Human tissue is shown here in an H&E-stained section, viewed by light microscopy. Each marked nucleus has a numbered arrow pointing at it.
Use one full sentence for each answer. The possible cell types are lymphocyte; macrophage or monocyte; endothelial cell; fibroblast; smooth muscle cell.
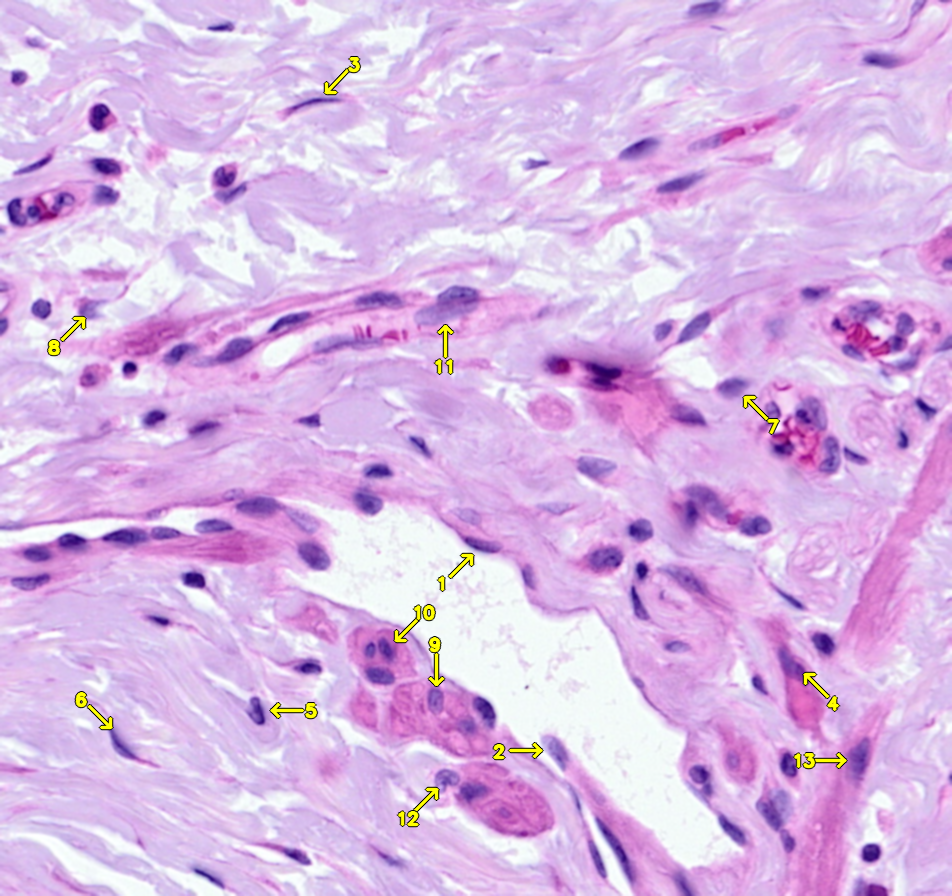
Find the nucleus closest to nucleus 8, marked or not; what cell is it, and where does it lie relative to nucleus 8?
Just to the left of nucleus 8 lies the nearest nucleus, which belongs to a lymphocyte.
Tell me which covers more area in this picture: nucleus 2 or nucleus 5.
Nucleus 2 covers more area, about 1.5 times as much as nucleus 5.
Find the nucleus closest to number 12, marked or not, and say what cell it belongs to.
It is a smooth muscle cell whose nucleus is nearest to number 12.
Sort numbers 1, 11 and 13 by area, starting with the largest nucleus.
Largest first, the order by area is 11, 13, 1.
